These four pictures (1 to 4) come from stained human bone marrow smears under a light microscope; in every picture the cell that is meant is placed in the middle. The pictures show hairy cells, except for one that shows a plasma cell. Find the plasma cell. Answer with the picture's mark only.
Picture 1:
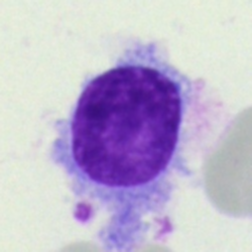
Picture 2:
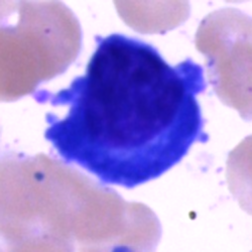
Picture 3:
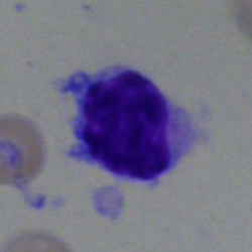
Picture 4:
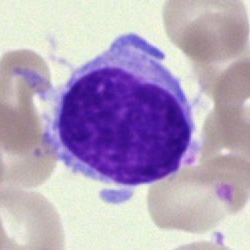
2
